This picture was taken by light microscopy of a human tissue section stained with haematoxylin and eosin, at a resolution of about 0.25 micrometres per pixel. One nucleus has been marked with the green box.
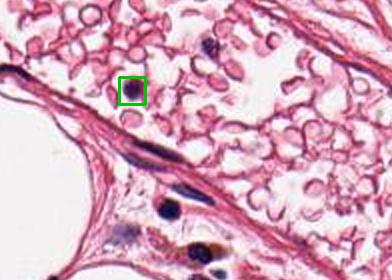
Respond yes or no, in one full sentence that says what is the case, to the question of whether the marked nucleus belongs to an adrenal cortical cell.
No, the marked nucleus is contained in a supporting cell and not in an adrenal cortical cell.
